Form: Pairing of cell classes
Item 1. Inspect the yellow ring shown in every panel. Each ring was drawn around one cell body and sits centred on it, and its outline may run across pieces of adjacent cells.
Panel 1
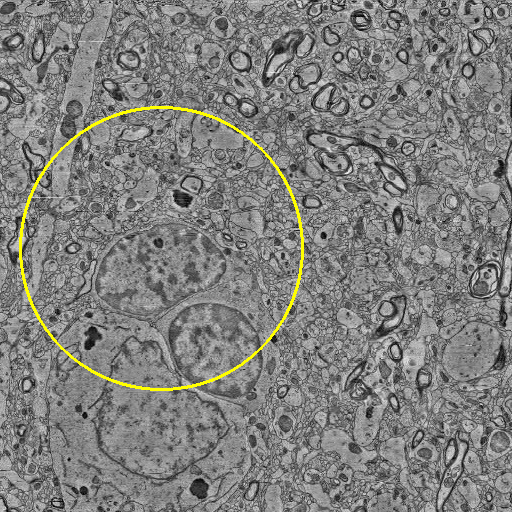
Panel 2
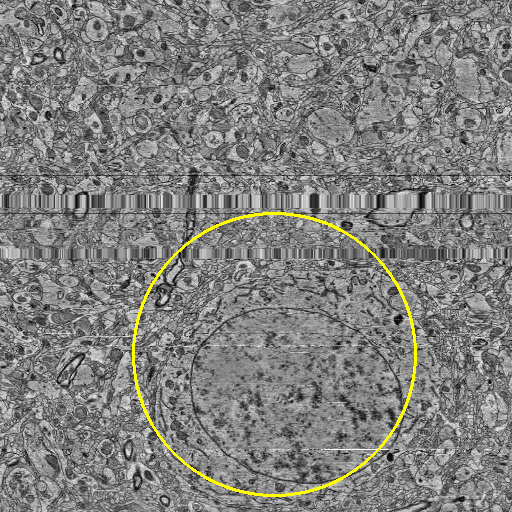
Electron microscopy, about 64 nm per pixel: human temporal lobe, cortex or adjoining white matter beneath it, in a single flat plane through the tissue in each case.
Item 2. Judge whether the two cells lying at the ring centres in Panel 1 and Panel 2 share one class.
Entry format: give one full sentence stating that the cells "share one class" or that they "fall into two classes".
The cells at the ring centres in Panel 1 and Panel 2 fall into two classes.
